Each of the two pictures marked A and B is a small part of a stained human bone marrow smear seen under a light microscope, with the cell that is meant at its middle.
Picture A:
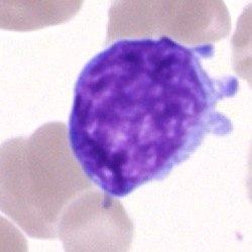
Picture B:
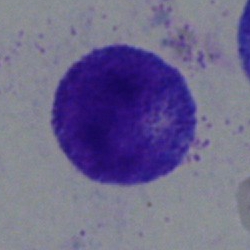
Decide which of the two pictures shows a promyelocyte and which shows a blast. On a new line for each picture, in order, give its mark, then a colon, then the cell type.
A: blast
B: promyelocyte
